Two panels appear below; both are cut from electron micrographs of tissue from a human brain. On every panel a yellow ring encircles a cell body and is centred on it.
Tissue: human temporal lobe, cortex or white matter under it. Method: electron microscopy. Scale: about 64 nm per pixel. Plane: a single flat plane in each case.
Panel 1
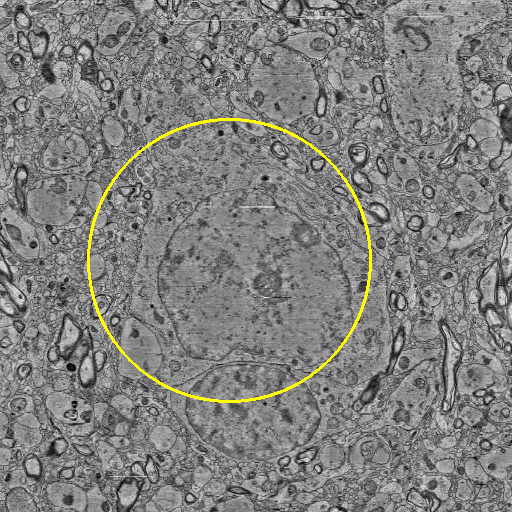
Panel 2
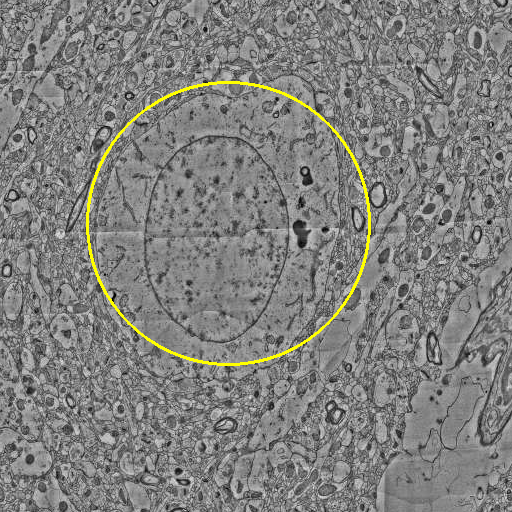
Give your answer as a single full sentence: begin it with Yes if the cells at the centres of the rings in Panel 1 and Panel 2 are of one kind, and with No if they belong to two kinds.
No, the cells in the middle of the rings in Panels 1 and 2 are of two kinds.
